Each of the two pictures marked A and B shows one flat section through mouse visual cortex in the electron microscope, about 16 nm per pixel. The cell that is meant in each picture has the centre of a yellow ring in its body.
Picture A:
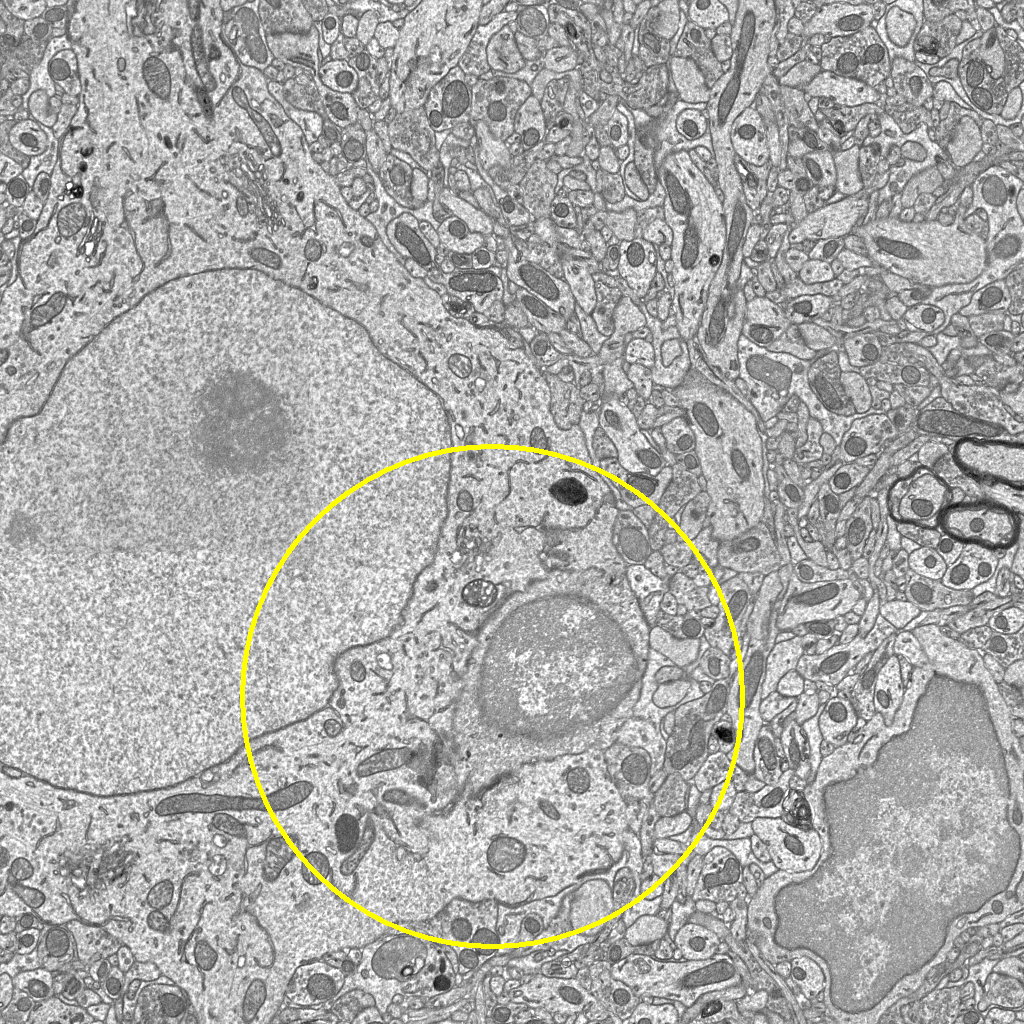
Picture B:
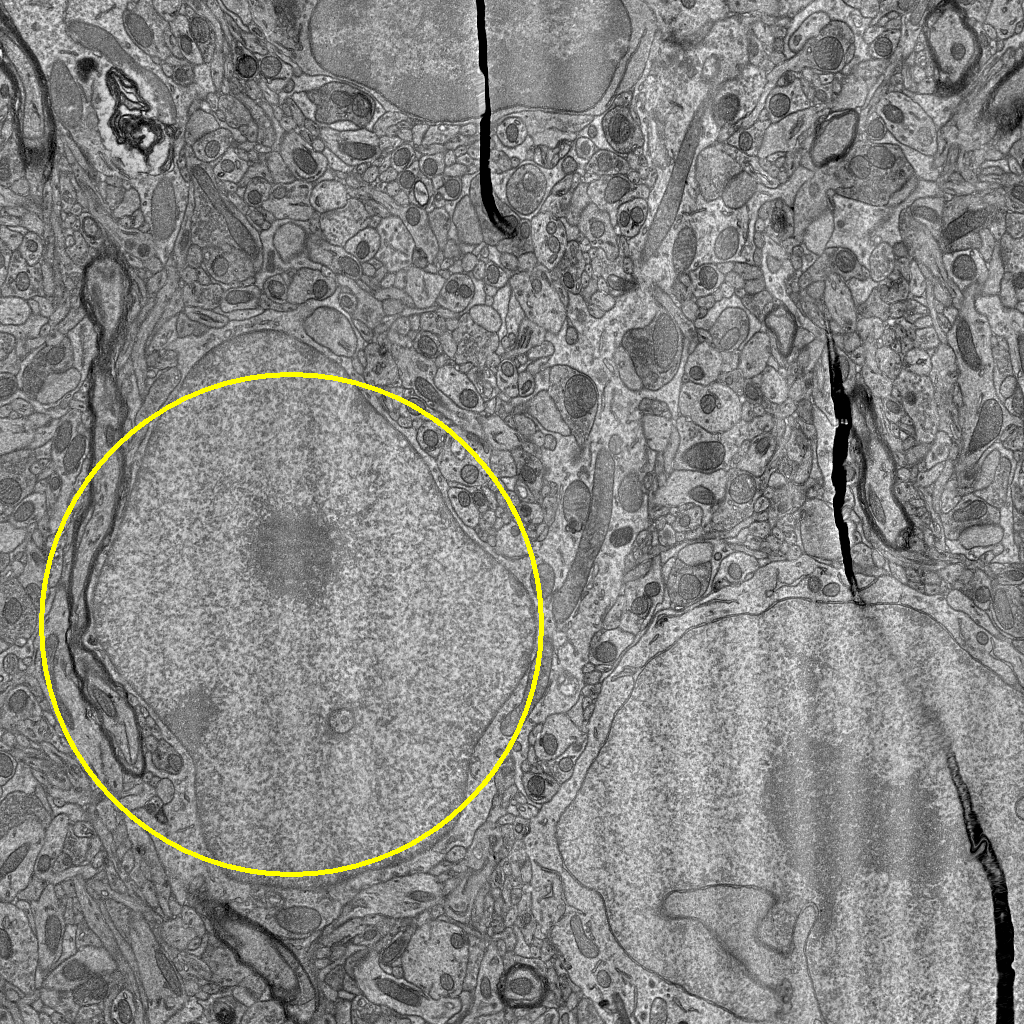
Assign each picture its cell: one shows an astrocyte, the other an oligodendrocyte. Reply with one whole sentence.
The cell in picture A is an oligodendrocyte, and the one in picture B is an astrocyte.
